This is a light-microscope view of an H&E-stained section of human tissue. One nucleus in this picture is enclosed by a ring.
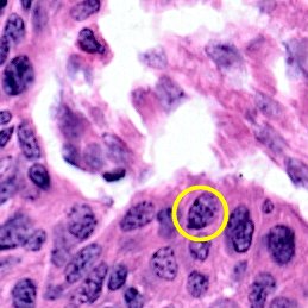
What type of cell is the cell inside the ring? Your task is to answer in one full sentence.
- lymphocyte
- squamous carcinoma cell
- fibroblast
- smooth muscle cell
In this preparation, the cell inside the ring is a squamous carcinoma cell.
